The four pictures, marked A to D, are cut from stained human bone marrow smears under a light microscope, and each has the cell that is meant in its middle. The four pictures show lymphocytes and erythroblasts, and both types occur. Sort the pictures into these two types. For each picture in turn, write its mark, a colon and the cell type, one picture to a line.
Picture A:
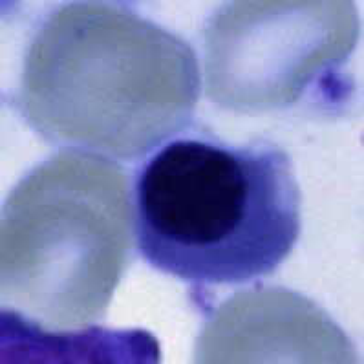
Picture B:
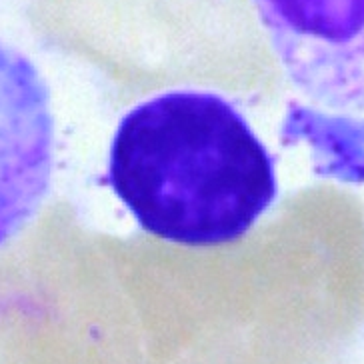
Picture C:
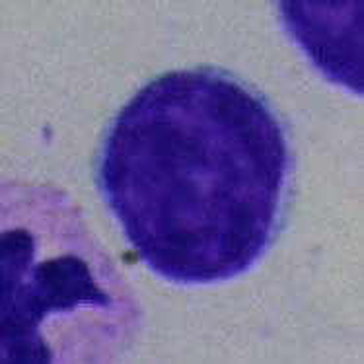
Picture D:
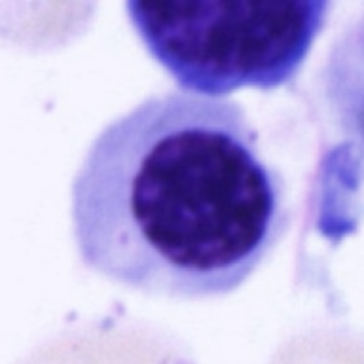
A: erythroblast
B: lymphocyte
C: lymphocyte
D: erythroblast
